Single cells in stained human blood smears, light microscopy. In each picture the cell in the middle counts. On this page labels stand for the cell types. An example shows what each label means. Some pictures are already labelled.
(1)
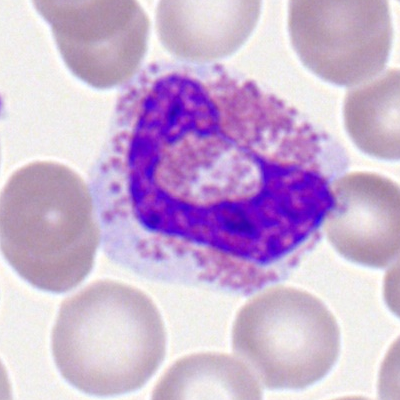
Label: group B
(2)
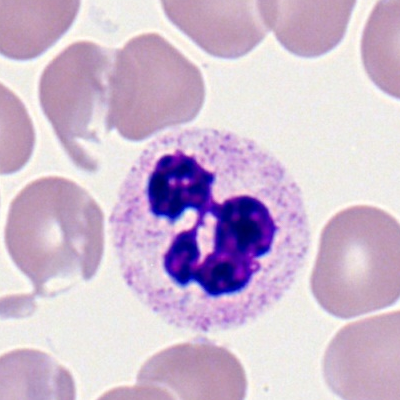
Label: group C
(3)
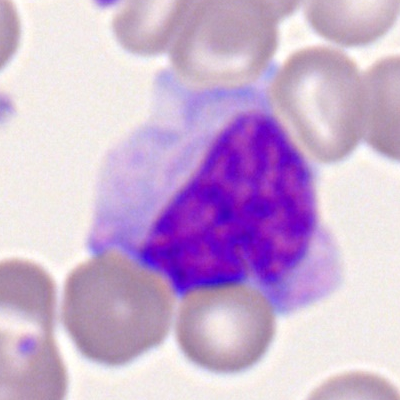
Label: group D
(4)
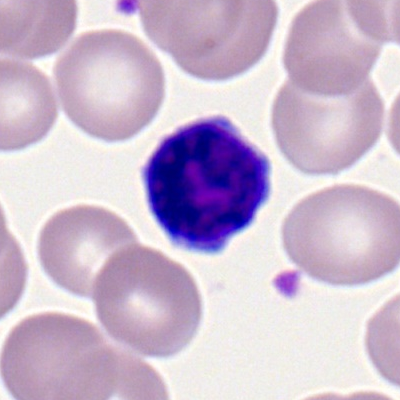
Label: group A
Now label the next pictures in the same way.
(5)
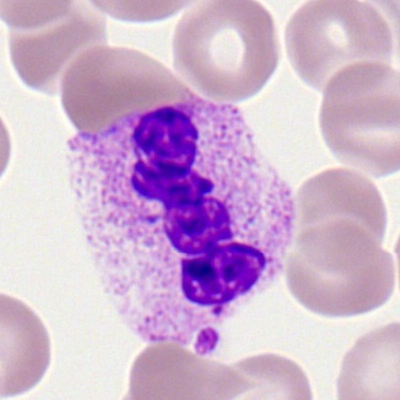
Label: group C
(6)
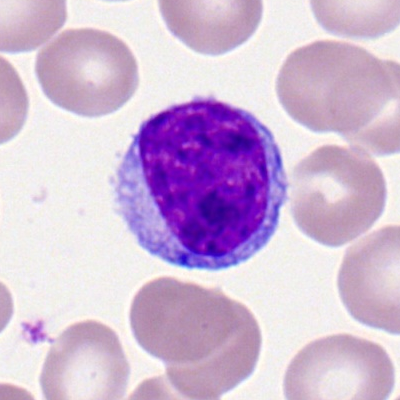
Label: group A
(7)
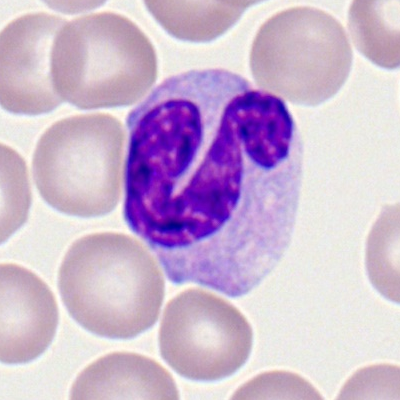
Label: group D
